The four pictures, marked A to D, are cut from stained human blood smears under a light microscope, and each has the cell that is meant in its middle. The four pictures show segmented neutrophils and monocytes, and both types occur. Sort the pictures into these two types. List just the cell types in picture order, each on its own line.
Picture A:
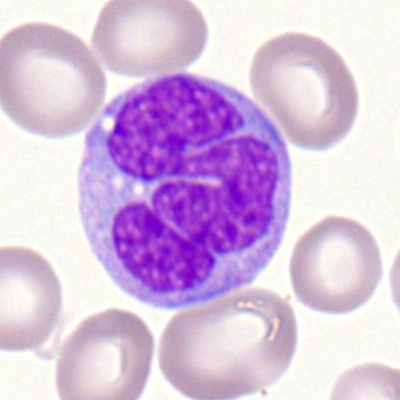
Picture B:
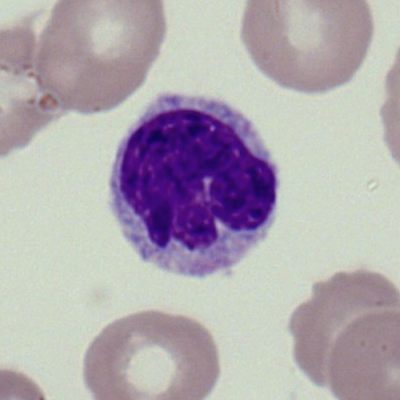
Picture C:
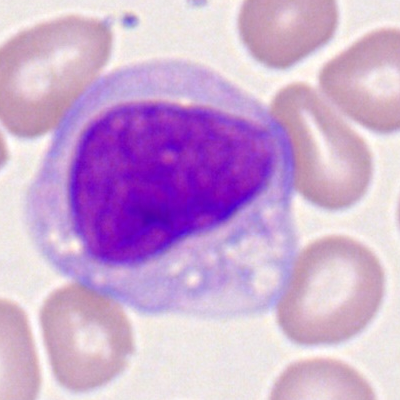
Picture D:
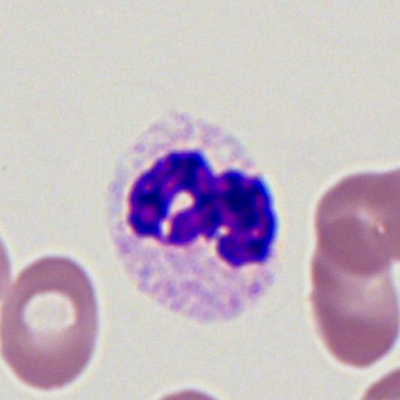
monocyte
monocyte
monocyte
segmented neutrophil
